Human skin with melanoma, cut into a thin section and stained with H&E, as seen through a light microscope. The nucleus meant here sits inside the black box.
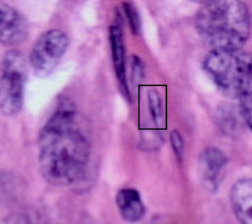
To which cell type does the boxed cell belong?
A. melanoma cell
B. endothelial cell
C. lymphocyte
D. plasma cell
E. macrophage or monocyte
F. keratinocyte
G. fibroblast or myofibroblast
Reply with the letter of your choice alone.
B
